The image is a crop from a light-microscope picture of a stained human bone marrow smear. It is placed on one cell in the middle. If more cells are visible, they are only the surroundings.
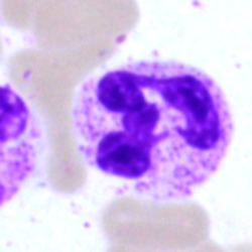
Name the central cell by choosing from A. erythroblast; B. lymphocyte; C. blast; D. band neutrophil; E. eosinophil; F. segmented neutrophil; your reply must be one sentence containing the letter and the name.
Seen at the centre of the crop is a segmented neutrophil, so option F is correct.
